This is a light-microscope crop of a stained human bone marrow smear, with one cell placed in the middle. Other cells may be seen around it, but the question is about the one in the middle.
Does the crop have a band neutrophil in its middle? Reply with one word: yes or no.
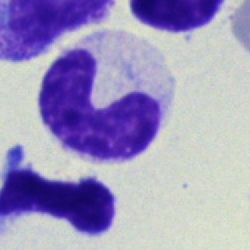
yes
